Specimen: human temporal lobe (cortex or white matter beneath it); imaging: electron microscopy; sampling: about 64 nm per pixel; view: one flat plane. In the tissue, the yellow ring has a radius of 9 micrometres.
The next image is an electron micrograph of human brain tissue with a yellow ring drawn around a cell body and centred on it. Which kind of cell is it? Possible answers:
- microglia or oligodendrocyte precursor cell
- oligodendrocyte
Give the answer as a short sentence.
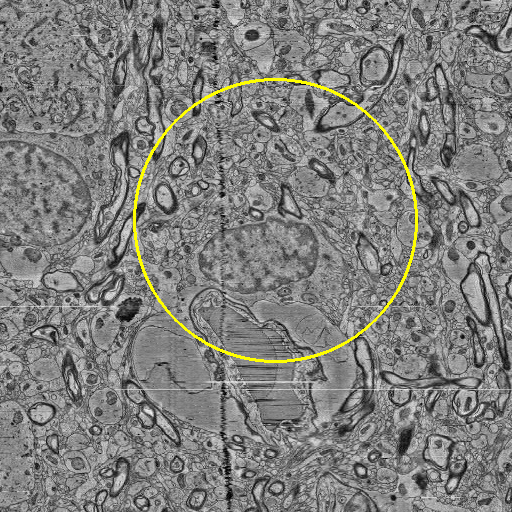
In the ring's centre is an oligodendrocyte.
